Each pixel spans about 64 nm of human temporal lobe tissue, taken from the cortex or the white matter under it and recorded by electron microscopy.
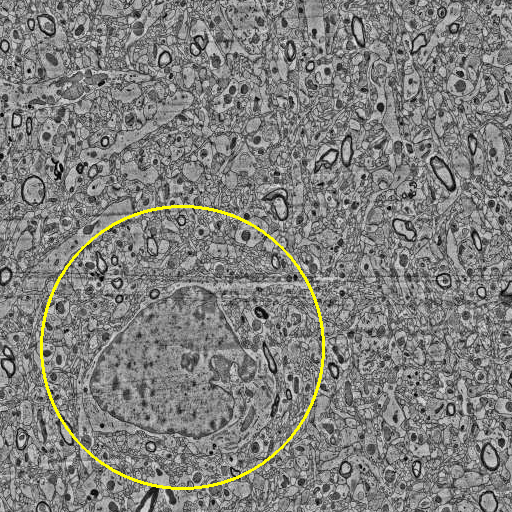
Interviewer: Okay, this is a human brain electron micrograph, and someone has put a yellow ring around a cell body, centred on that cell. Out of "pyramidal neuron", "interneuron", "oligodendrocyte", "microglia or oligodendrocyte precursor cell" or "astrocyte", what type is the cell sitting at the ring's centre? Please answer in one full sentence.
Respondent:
The cell at the centre of the yellow ring in this picture is a microglial cell or oligodendrocyte precursor cell.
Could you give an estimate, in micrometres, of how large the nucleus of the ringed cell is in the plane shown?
Roughly 10 micrometres across, measured in this plane.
